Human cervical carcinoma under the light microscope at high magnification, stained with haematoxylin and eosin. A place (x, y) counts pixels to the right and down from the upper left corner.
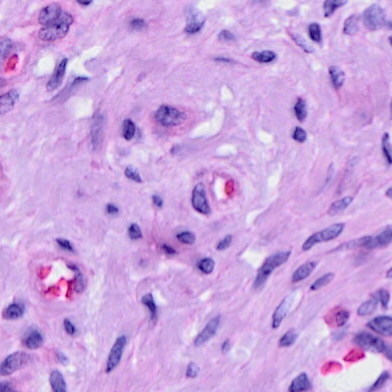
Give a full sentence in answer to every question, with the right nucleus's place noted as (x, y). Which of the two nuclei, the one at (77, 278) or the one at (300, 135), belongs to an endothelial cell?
Of these two nuclei, it is the one at (77, 278) that belongs to an endothelial cell.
